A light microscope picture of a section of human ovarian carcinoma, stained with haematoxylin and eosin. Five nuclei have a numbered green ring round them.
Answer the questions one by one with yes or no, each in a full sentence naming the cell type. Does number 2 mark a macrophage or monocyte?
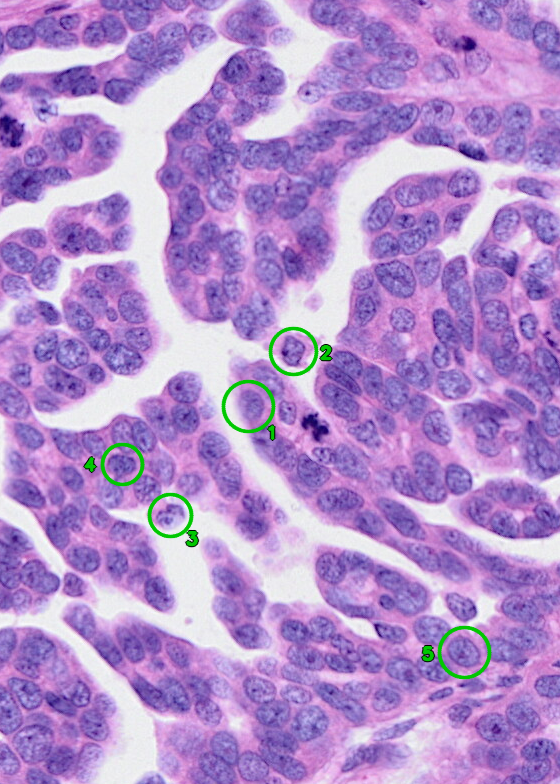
Yes, cell number 2 is identified here as a macrophage or monocyte.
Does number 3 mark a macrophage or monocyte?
Yes, the cell that bears the number 3 is a macrophage or monocyte.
